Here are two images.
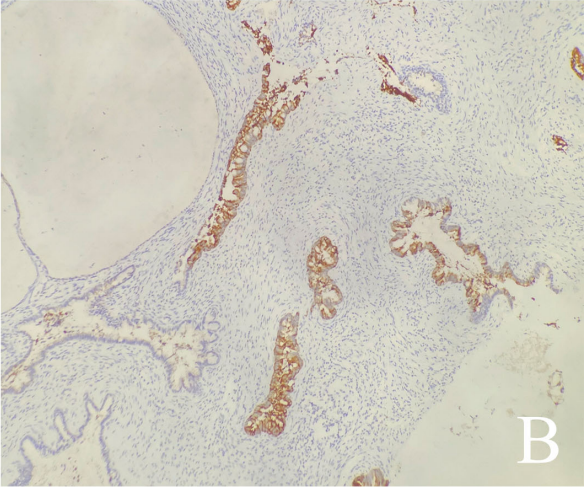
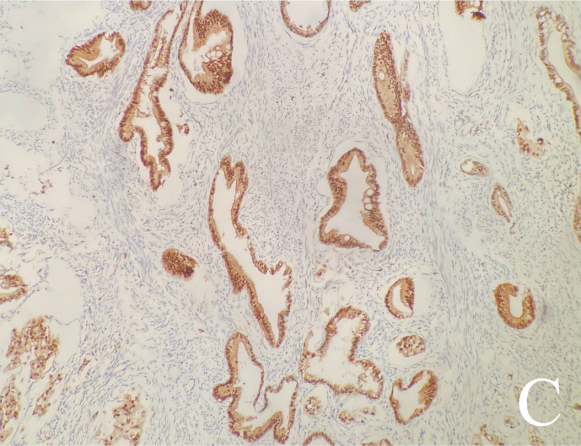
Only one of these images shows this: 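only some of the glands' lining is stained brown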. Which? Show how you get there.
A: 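Second image: nearly every gland's lining is stained brown. First image: brown stain is in some gland segments while other glands and a large dilated space are unstained.
Conclusion: the first image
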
